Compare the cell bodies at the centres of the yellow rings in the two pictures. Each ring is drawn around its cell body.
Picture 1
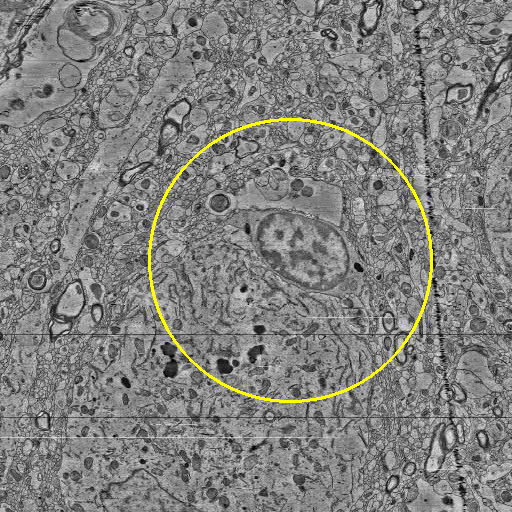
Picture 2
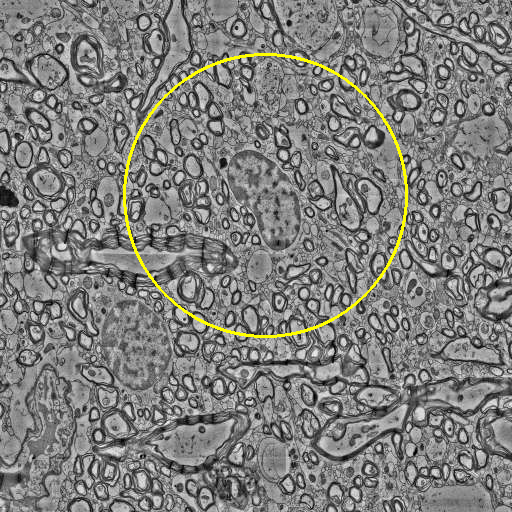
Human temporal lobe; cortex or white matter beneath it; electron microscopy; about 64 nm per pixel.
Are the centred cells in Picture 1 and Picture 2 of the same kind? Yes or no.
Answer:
no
